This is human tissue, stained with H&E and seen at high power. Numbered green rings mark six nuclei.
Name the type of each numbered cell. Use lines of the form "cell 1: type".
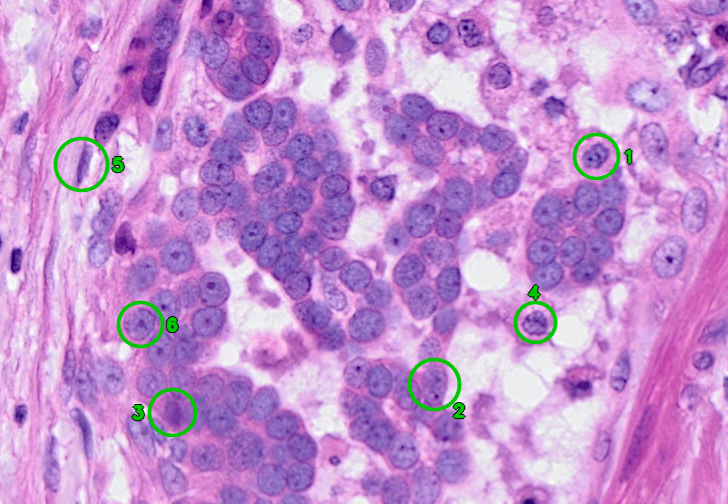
cell 1: macrophage or monocyte
cell 2: carcinoma cell
cell 3: carcinoma cell
cell 4: macrophage or monocyte
cell 5: fibroblast
cell 6: carcinoma cell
